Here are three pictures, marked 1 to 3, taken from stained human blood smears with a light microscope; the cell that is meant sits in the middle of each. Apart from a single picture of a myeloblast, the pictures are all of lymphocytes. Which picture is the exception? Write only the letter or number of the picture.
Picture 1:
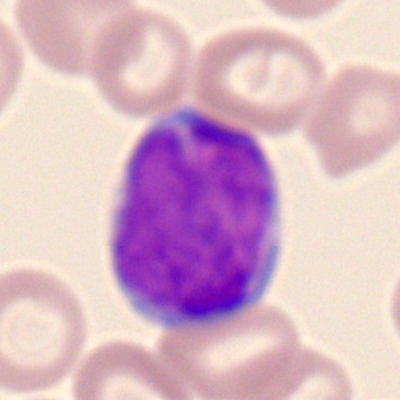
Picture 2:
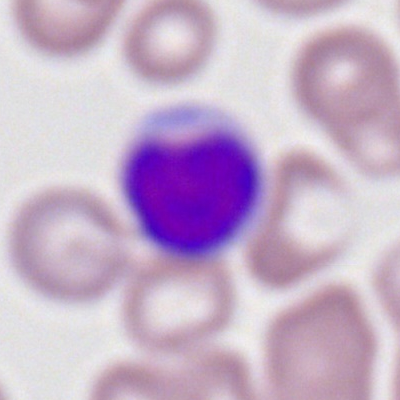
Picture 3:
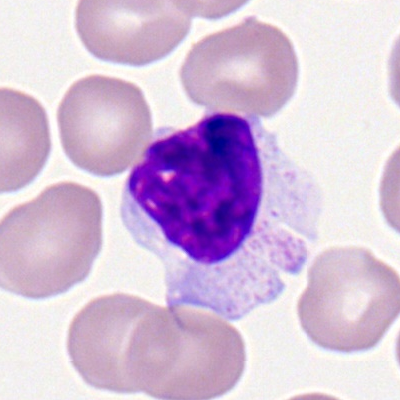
1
